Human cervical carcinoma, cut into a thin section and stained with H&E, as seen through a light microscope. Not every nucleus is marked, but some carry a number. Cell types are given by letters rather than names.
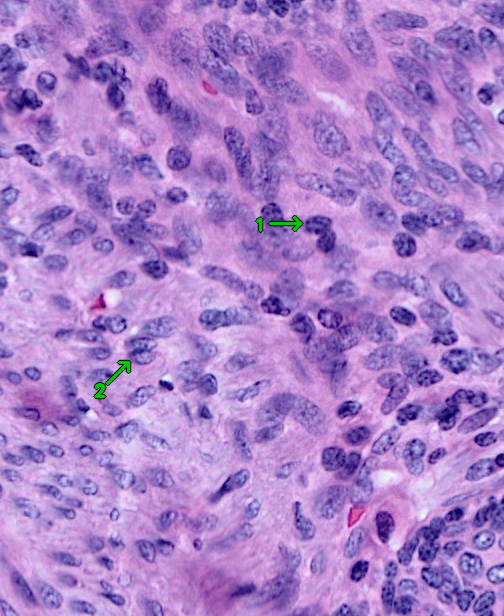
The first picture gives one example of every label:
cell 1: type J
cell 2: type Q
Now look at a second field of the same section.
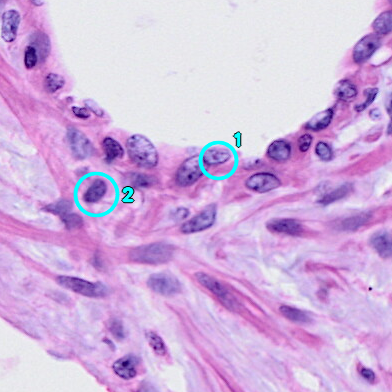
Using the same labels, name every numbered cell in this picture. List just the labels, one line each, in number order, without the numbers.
type Q
type J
